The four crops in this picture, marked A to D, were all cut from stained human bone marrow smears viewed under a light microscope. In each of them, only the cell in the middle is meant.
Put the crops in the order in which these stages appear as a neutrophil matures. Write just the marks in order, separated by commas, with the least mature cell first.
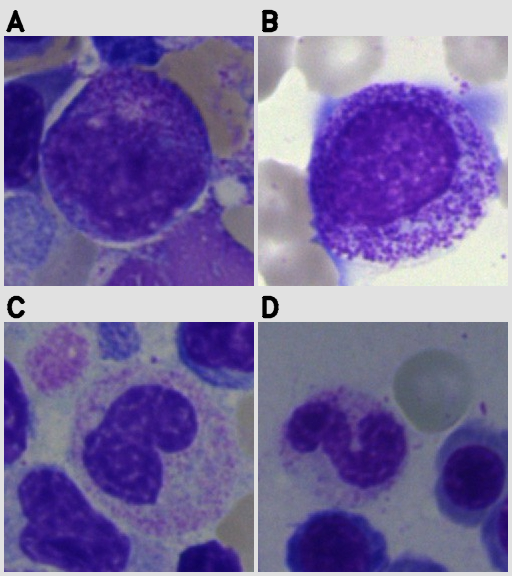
A, B, C, D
